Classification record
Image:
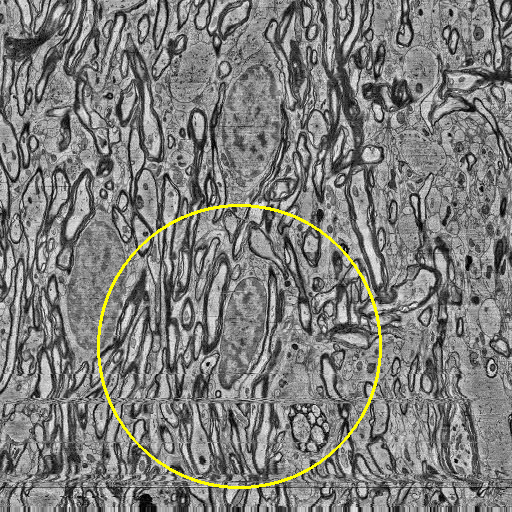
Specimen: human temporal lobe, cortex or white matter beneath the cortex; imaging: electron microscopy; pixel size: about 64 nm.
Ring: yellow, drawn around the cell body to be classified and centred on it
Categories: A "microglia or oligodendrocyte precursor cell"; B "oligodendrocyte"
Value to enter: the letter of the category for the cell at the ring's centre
A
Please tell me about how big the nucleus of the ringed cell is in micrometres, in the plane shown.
Roughly 7 by 3 micrometres; in this plane, clearly longer than it is wide.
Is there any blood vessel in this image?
No, the image shows no blood vessel.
